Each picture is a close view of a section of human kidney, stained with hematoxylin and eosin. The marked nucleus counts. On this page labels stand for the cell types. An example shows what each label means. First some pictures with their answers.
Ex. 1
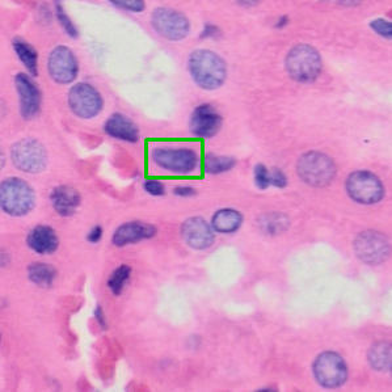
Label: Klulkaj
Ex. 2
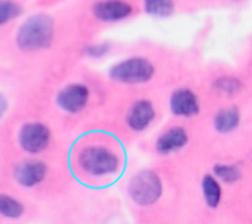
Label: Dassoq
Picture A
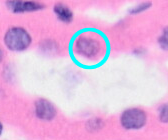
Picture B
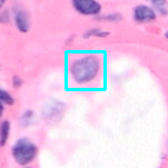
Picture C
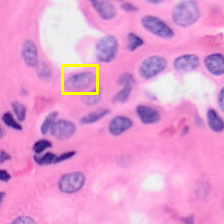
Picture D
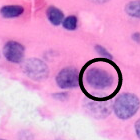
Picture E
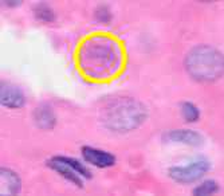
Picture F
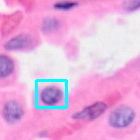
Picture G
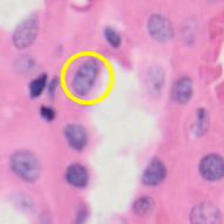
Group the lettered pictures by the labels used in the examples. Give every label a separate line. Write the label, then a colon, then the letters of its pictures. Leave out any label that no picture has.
Klulkaj: C, D
Dassoq: A, B, E, F, G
